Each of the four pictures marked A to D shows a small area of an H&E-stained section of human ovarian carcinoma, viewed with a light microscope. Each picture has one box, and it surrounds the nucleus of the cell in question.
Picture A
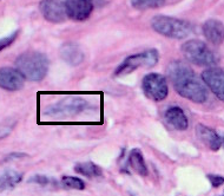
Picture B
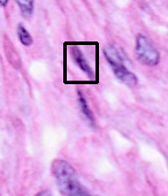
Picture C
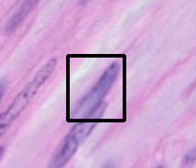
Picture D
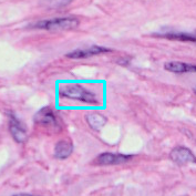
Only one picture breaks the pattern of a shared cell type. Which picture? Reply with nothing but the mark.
C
